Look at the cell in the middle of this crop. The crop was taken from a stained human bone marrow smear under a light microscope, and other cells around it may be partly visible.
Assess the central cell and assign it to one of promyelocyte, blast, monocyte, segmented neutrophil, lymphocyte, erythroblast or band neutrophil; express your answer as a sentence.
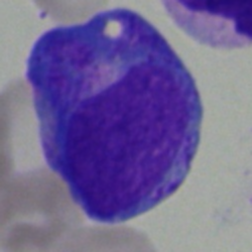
This crop's central cell is a promyelocyte.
